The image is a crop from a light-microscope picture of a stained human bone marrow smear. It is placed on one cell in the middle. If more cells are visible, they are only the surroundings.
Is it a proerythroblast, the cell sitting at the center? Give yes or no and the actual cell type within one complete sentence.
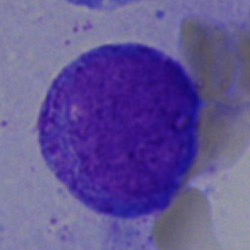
No, the cell in the middle is a promyelocyte, not a proerythroblast.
